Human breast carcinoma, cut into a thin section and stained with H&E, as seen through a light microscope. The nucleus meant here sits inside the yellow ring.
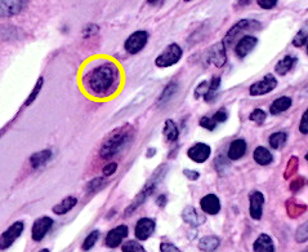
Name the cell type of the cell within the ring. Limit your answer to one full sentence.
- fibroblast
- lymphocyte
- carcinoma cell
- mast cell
In short, the cell within the ring on this section is a mast cell.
